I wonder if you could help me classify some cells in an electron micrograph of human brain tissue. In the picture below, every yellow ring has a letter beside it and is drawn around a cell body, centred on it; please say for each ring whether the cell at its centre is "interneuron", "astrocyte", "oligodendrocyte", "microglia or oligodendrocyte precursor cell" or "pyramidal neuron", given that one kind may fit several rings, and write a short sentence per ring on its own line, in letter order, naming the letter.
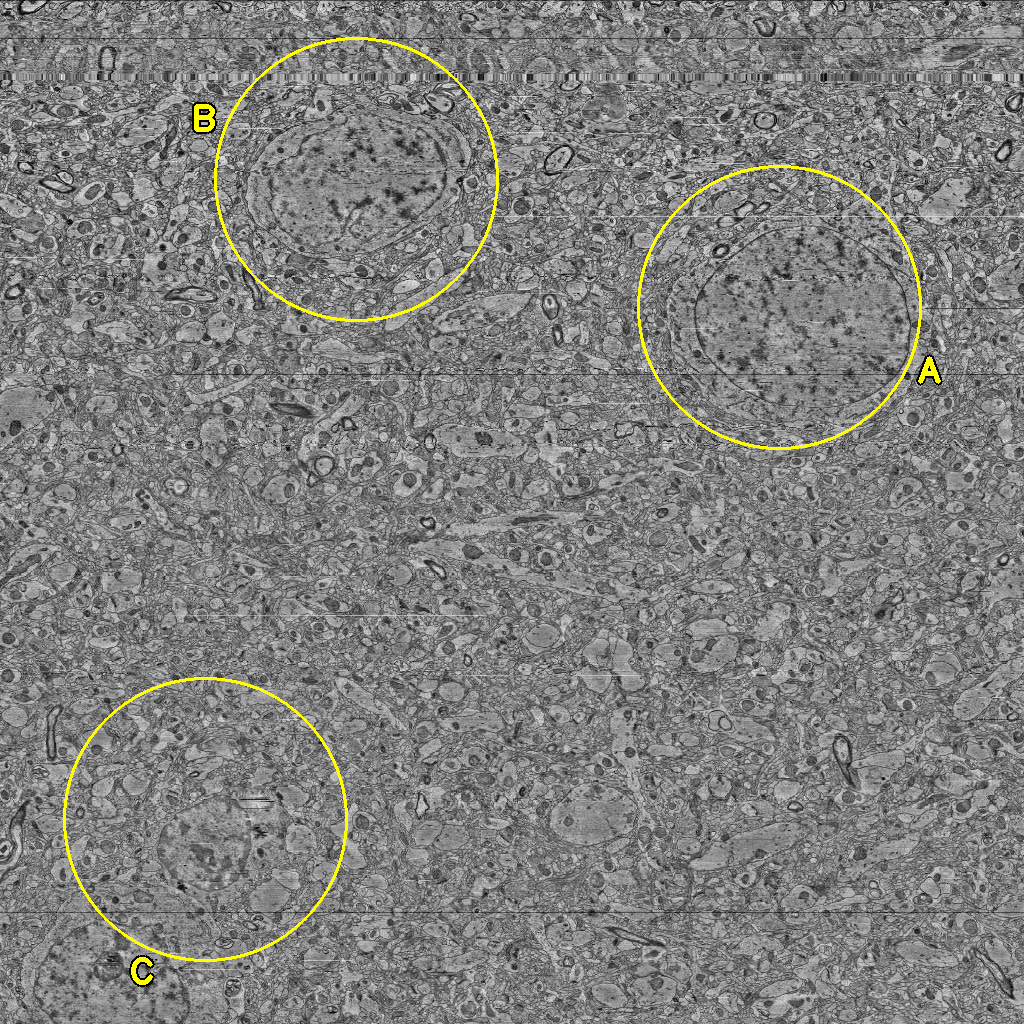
Centred in ring A is a pyramidal neuron.
Centred in ring B is an interneuron.
Centred in ring C is an oligodendrocyte.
